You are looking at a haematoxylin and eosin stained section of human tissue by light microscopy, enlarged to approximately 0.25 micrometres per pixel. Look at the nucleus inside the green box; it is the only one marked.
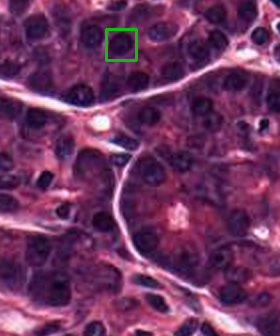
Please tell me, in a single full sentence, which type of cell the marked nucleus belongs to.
Located in a pancreatic acinar cell is the marked nucleus.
